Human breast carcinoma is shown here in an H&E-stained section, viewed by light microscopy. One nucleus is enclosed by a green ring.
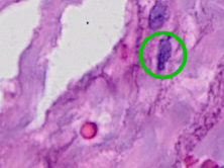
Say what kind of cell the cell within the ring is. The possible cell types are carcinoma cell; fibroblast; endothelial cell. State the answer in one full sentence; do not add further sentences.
The identity of the cell within the ring is that of a fibroblast.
